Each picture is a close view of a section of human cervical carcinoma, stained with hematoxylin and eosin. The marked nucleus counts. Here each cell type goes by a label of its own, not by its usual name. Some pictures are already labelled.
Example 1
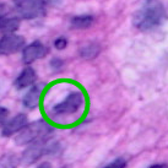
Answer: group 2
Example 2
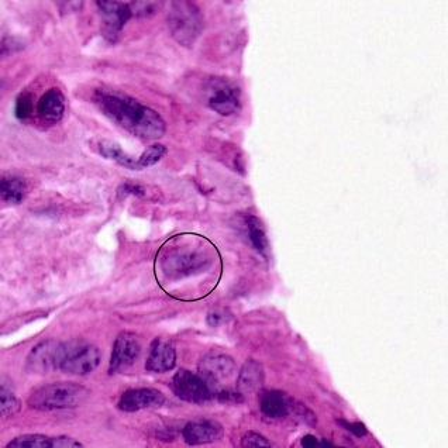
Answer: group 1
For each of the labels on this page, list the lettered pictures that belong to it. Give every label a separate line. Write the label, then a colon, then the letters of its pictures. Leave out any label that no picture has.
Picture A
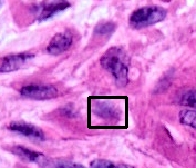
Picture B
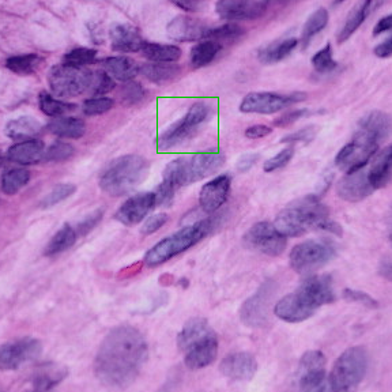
group 1: A, B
